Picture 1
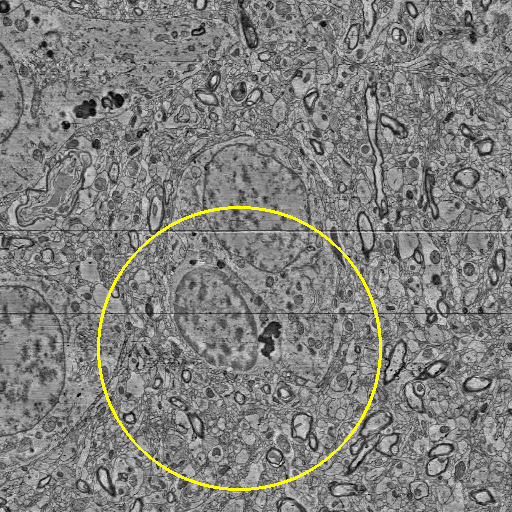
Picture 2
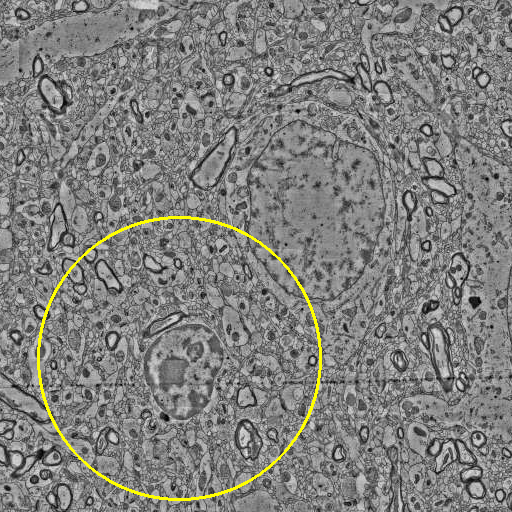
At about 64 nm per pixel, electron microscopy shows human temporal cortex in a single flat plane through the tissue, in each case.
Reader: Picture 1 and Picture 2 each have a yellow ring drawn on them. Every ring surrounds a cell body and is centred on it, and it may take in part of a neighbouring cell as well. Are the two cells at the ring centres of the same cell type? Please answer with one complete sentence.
No, the cells are of two cell types.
